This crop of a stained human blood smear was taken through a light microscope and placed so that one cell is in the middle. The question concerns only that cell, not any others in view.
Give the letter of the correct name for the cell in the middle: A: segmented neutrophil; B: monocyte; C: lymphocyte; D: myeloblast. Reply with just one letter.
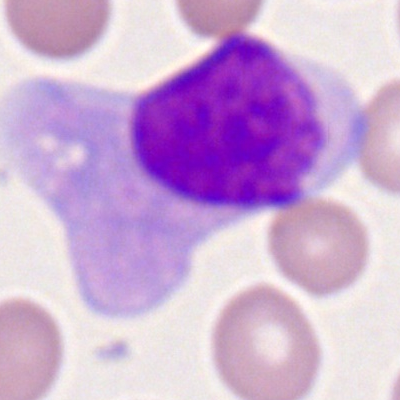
B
